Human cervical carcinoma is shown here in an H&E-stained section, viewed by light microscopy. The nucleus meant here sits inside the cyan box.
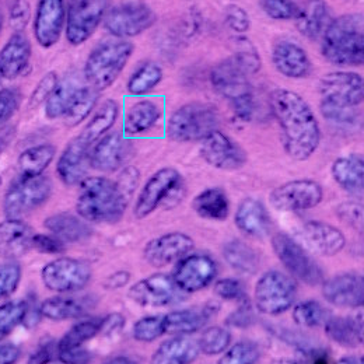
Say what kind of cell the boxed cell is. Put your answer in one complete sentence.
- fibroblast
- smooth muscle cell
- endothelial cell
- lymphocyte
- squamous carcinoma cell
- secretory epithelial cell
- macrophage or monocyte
In terms of identity, the boxed cell is a squamous carcinoma cell.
